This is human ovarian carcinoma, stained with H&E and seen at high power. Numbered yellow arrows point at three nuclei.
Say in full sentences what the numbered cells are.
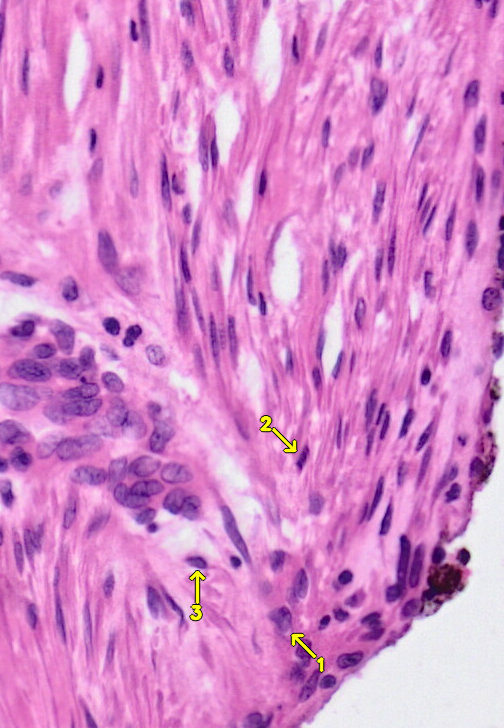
Cell 1 is an endothelial cell, cell 2 is a fibroblast and cell 3 is a fibroblast.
